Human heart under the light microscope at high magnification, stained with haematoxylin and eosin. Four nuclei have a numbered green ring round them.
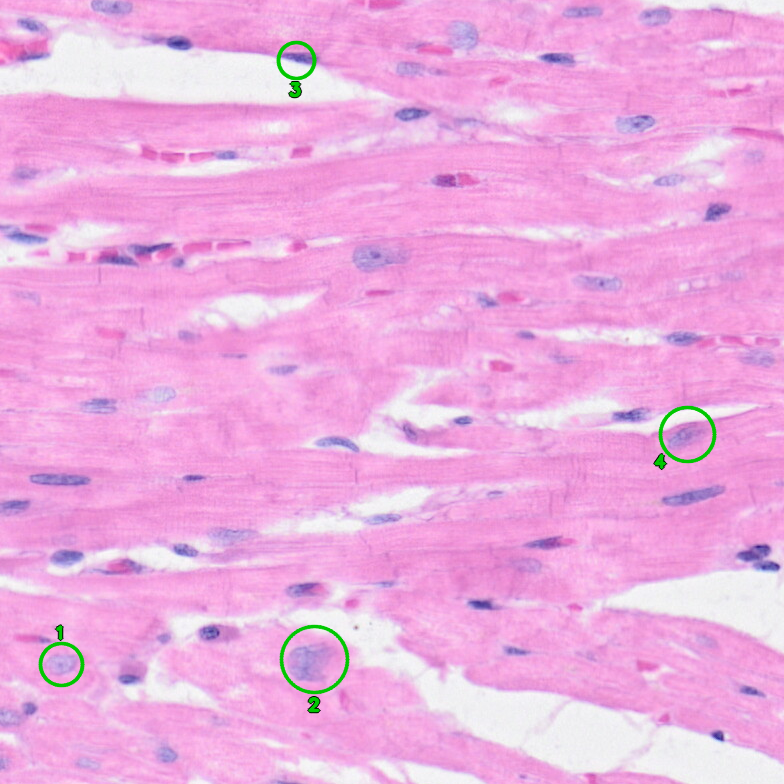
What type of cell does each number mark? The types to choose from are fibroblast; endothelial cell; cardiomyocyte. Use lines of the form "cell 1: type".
cell 1: cardiomyocyte
cell 2: cardiomyocyte
cell 3: endothelial cell
cell 4: cardiomyocyte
